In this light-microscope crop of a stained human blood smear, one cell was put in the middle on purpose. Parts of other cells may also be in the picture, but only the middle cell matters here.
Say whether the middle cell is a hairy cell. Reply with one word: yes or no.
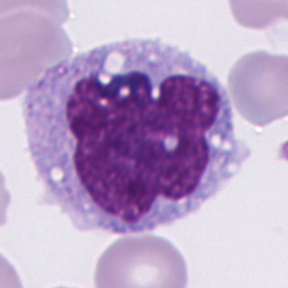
no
